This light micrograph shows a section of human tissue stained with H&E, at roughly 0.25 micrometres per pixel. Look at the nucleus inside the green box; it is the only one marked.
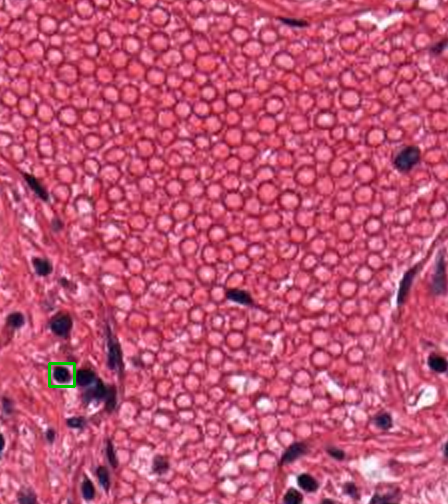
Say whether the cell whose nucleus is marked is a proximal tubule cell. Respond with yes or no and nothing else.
no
